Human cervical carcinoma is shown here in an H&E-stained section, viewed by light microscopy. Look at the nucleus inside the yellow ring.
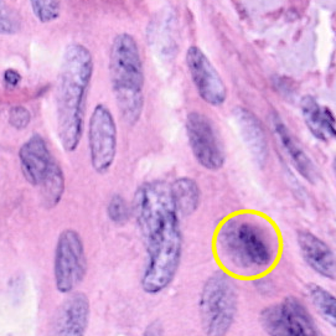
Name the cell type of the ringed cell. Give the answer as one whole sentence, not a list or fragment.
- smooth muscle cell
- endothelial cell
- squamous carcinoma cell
As a matter of cell type, the ringed cell is a squamous carcinoma cell.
